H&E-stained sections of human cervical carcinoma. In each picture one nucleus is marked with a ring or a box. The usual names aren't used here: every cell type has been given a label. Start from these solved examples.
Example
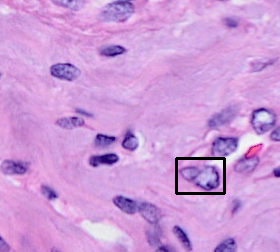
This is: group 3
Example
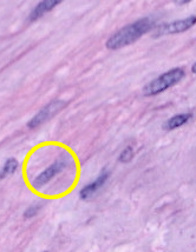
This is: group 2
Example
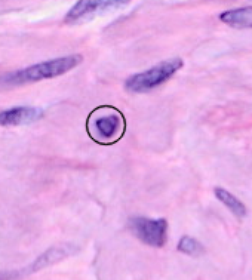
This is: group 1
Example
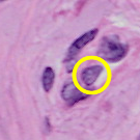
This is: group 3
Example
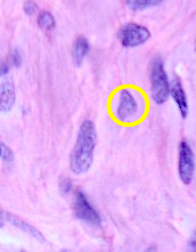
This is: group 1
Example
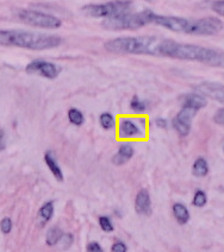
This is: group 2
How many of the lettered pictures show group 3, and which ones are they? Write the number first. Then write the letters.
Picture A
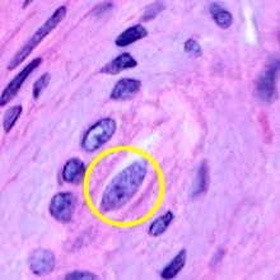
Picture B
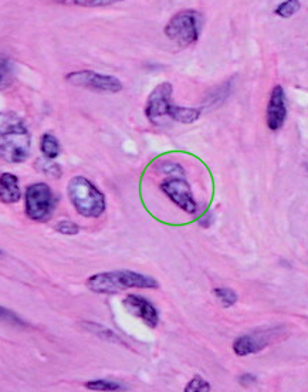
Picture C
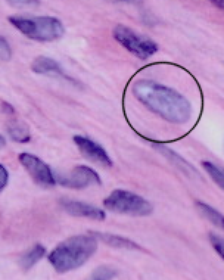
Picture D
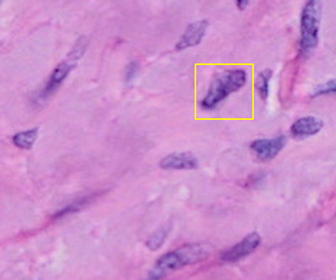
3, namely A, B, C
